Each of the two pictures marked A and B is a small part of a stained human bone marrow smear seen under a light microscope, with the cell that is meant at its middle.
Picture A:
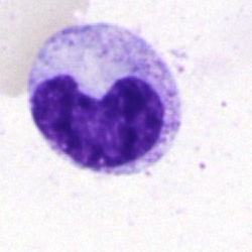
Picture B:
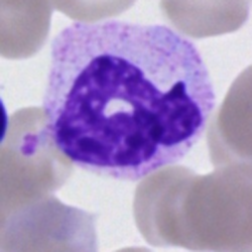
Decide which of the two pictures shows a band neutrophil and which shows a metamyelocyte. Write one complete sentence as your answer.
The cell in picture A is a metamyelocyte, and the one in picture B is a band neutrophil.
